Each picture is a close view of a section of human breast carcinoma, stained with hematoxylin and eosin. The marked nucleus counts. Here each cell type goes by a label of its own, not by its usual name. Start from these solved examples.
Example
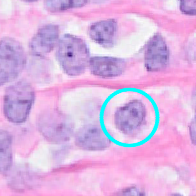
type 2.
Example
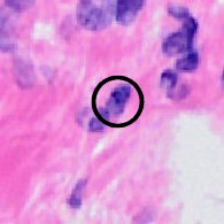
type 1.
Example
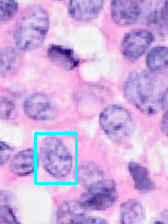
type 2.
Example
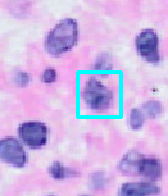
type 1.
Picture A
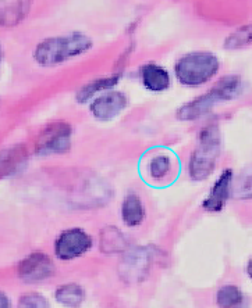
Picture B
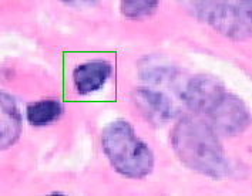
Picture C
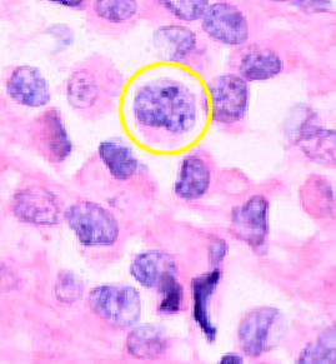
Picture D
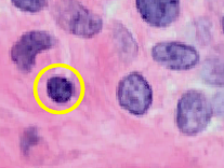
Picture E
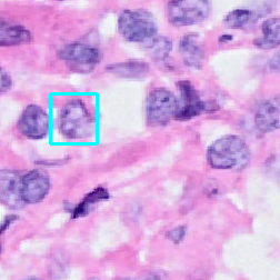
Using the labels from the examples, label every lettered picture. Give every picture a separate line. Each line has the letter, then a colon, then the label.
A: type 1.
B: type 1.
C: type 2.
D: type 1.
E: type 2.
